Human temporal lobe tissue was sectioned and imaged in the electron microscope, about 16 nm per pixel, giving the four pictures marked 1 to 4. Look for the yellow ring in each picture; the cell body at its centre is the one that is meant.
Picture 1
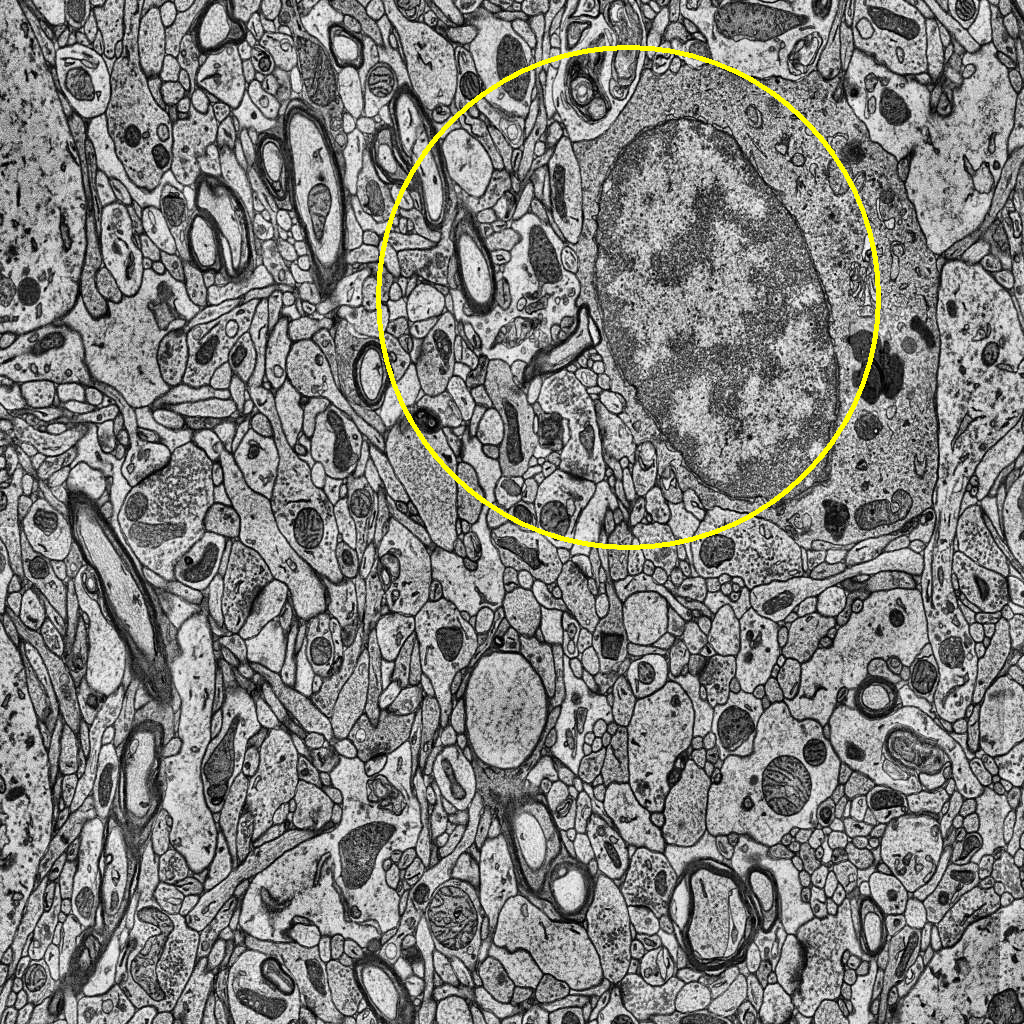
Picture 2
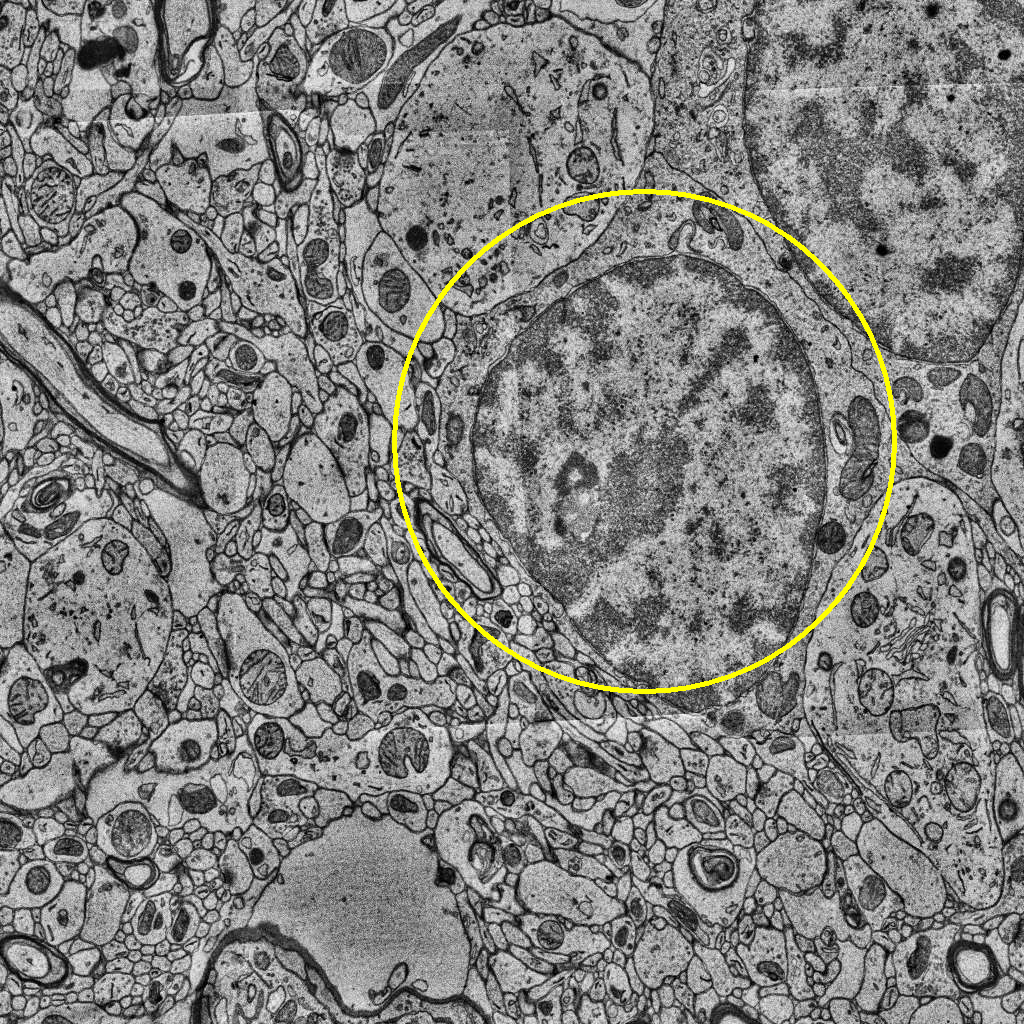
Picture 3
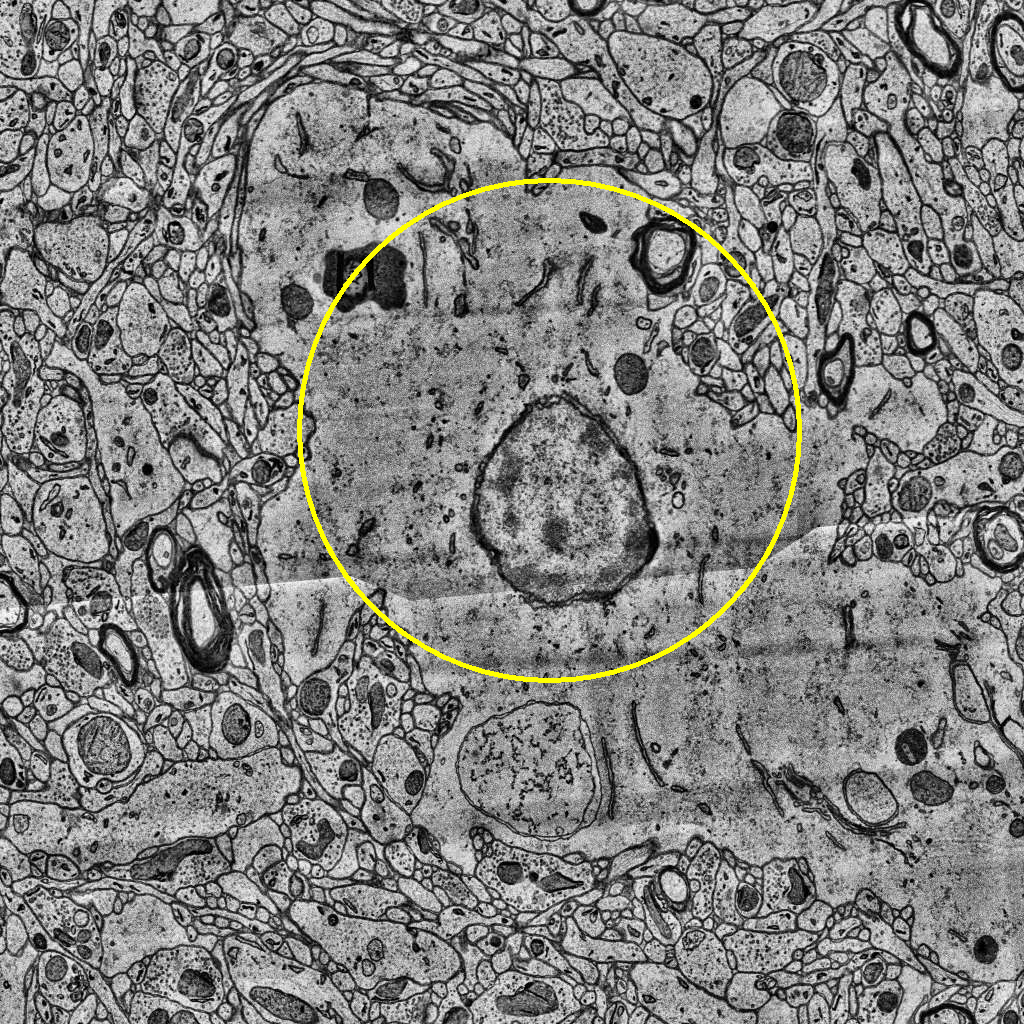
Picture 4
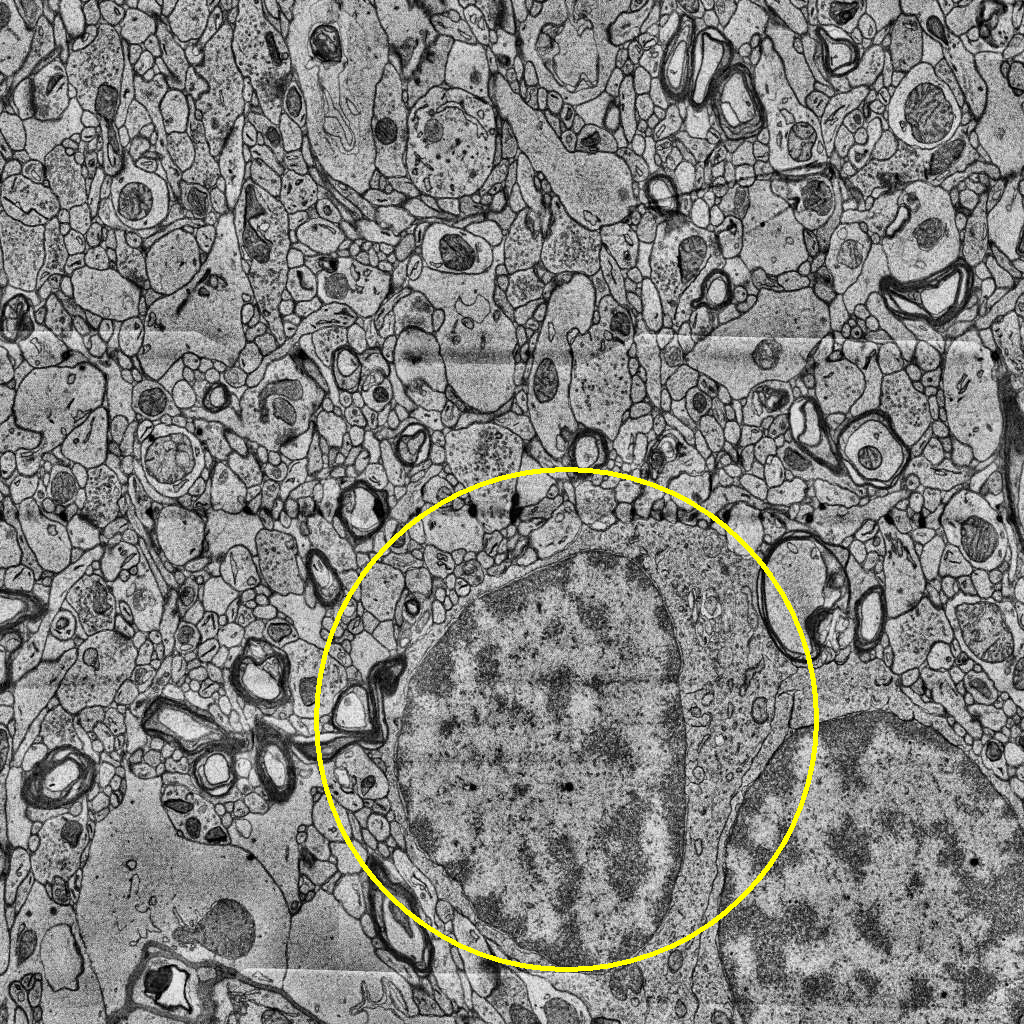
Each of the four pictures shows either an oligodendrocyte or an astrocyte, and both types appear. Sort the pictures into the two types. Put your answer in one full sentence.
Pictures 1, 2 and 4 show oligodendrocytes, and picture 3 shows an astrocyte.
